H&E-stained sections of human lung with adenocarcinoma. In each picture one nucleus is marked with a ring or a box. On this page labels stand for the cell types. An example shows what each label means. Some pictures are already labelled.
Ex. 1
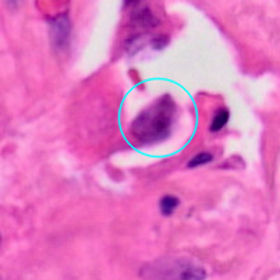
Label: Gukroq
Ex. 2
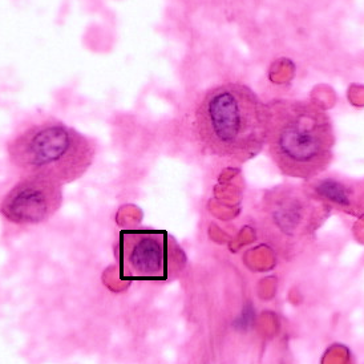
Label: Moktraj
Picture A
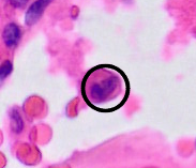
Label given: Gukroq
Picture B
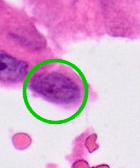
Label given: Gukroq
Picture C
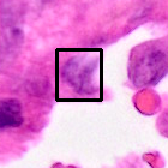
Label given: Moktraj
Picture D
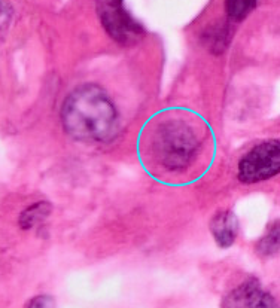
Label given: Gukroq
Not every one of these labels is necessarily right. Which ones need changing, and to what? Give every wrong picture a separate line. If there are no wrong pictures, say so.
A should be Moktraj, not Gukroq
C should be Gukroq, not Moktraj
